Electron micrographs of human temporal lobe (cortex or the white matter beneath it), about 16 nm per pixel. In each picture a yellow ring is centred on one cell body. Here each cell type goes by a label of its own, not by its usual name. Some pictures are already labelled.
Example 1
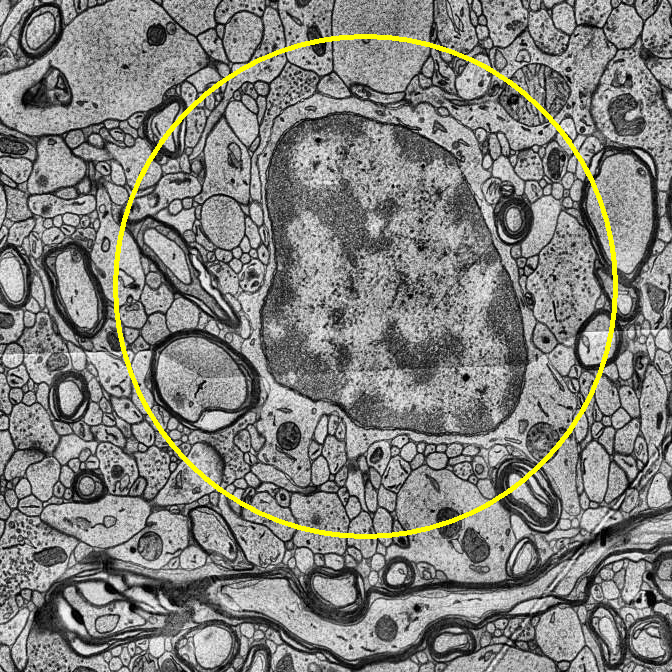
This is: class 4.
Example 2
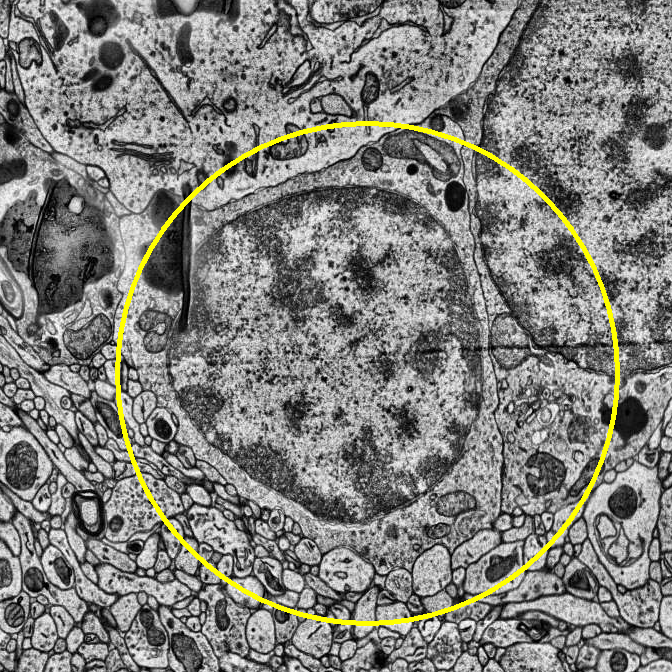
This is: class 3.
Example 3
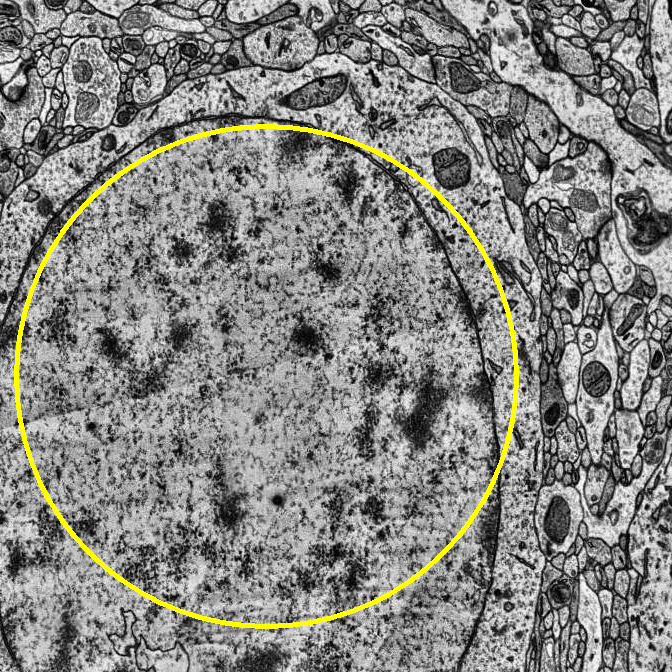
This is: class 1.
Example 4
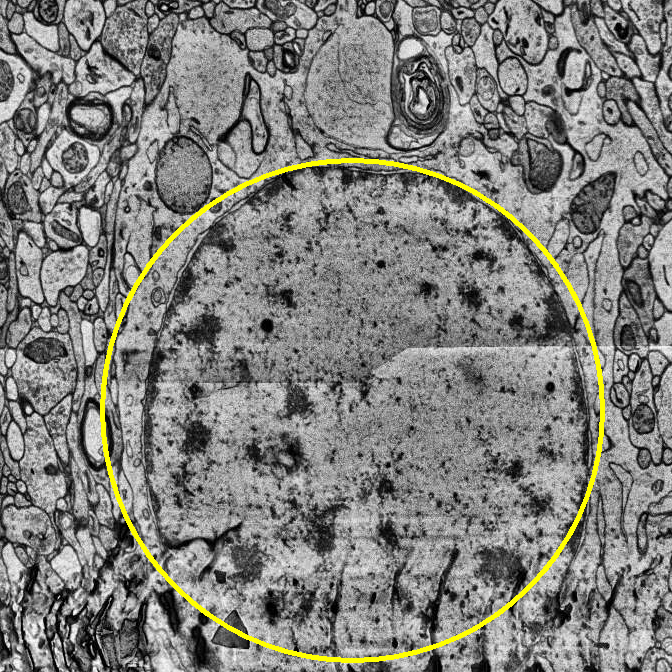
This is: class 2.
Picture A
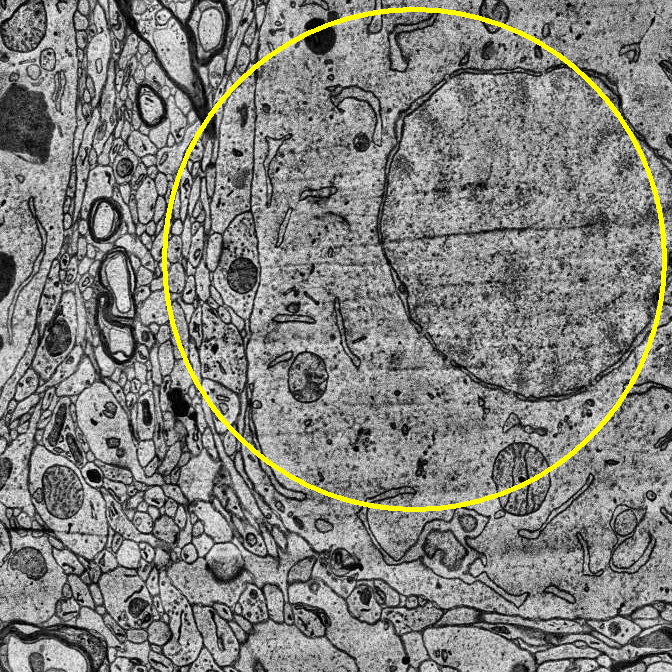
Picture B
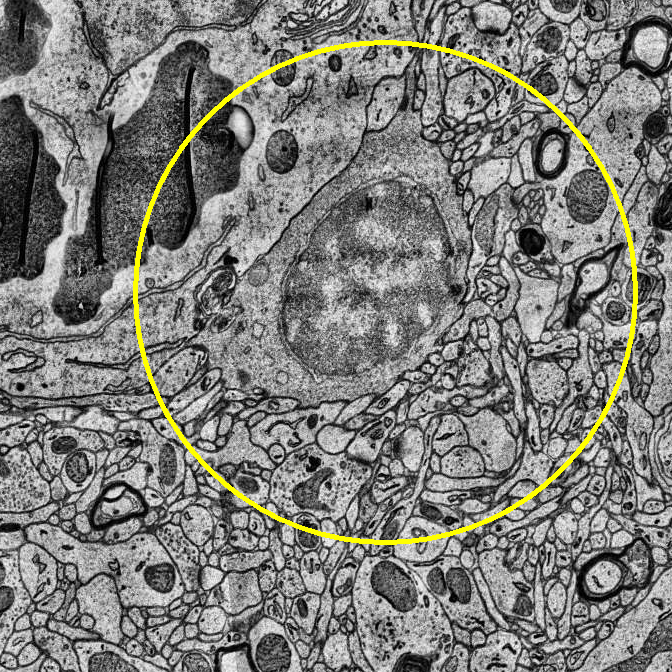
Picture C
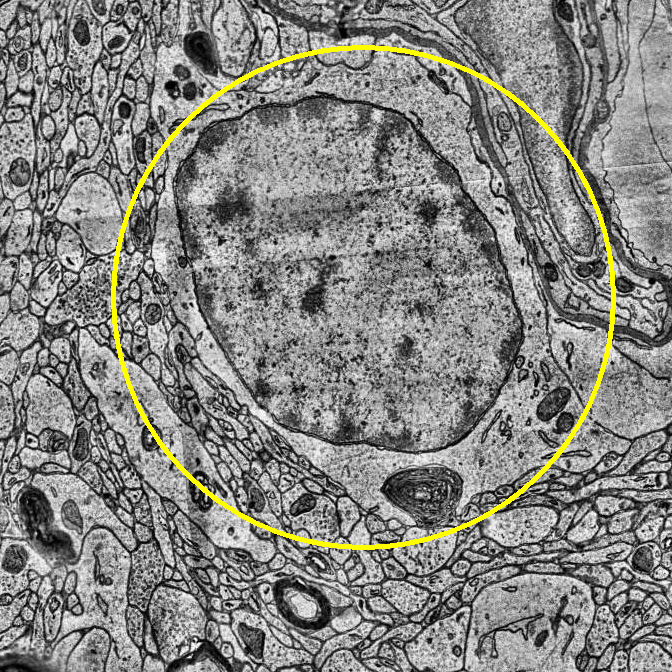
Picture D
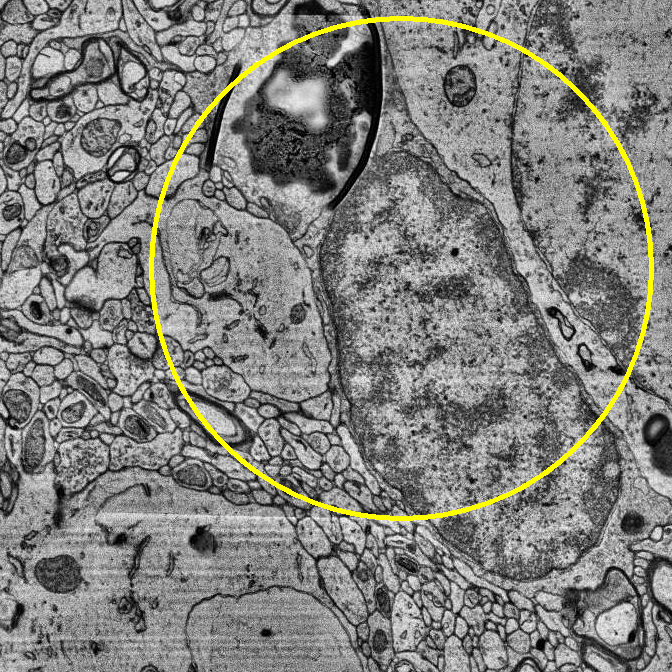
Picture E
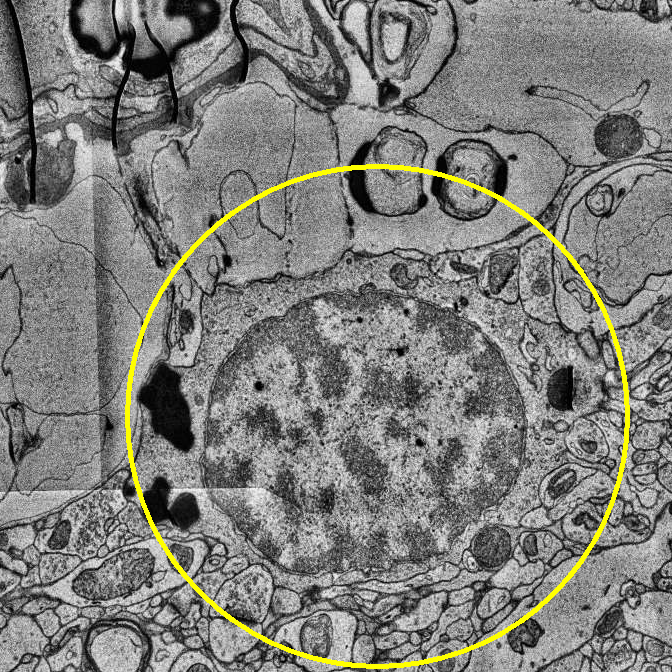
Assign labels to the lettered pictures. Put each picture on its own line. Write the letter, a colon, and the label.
A: class 4.
B: class 3.
C: class 4.
D: class 4.
E: class 3.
